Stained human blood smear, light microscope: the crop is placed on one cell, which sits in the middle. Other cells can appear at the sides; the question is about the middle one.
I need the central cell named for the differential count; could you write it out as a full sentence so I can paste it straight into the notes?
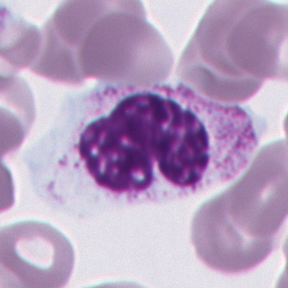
This crop's central cell is a neutrophil.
